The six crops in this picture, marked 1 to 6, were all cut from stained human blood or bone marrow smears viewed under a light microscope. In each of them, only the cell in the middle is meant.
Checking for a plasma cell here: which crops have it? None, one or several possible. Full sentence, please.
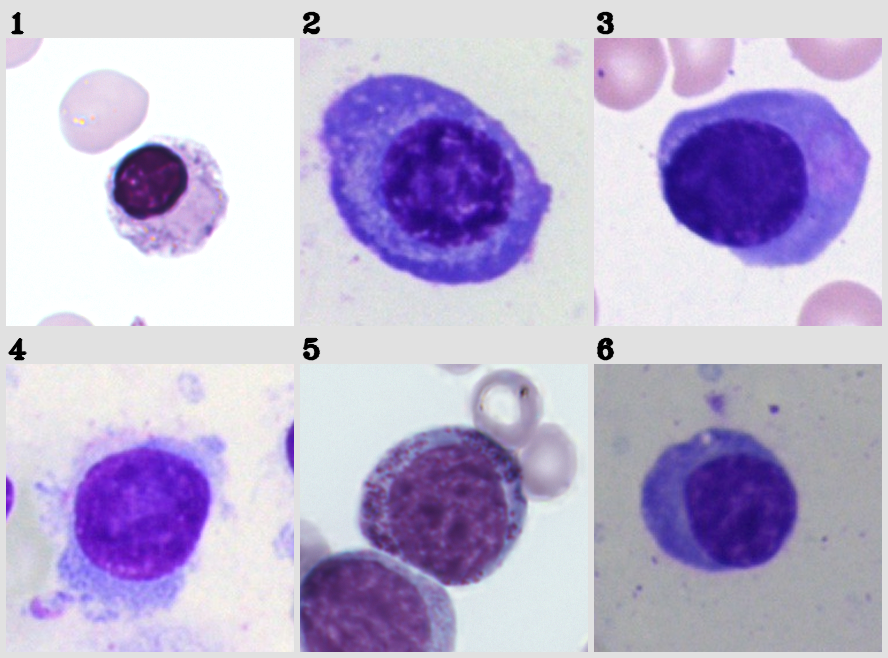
That crops 2, 3 and 6 show plasma cells is the identification made here.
